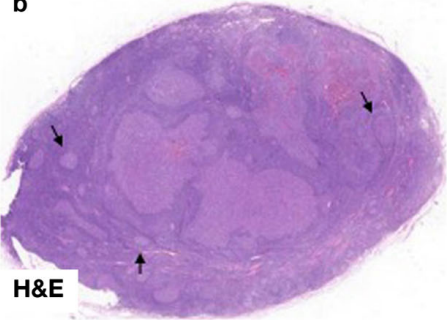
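This low-power view shows a whole lymph node with a large nodular mass of pale follicles in its centre. The central follicles are large and irregular and separated by darker purple tissue. Around this mass lies a rim of darker nodal tissue beneath a thin capsule. Within this rim sit several small round follicles, much smaller than those of the central mass. The result is a nodule set within the node.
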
